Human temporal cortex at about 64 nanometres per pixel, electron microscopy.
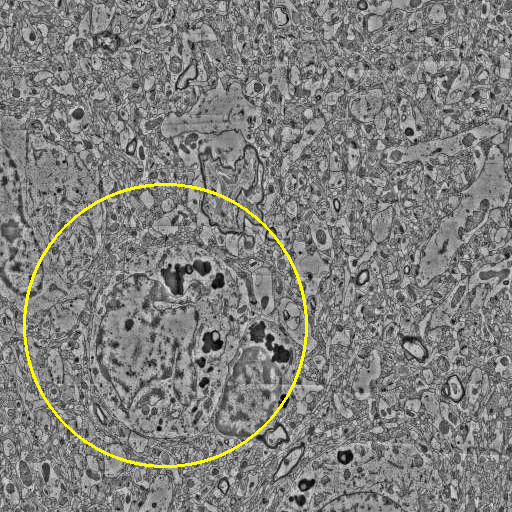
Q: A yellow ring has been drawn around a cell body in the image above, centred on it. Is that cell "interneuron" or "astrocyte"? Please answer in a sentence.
The ring surrounds the cell body of an interneuron.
